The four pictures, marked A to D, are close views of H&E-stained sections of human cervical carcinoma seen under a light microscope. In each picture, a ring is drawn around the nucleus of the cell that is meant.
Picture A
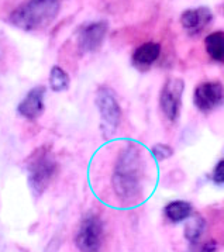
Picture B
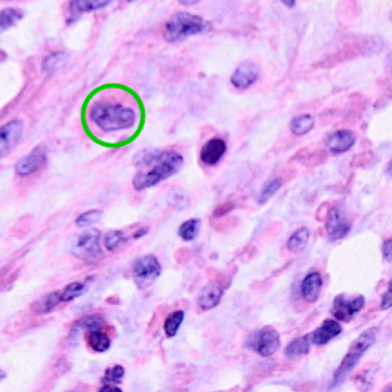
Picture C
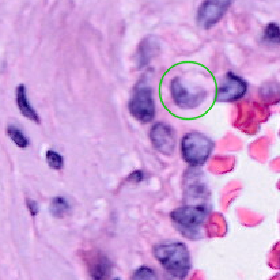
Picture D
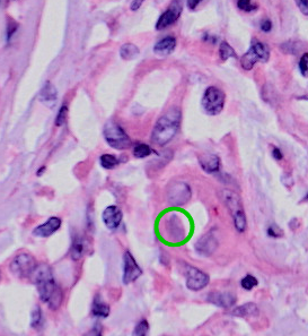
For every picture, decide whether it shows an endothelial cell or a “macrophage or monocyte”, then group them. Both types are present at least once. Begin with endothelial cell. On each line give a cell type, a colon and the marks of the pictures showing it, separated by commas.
endothelial cell: A, C, D
macrophage or monocyte: B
